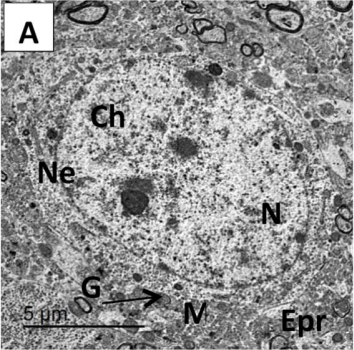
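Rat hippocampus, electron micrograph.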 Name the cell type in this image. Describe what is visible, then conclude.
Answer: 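A large round pale nucleus with a dark nucleolus fills the centre. It is surrounded by cytoplasm with organelles amid neuropil containing dark-ringed myelinated profiles.
Neurocytes.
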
